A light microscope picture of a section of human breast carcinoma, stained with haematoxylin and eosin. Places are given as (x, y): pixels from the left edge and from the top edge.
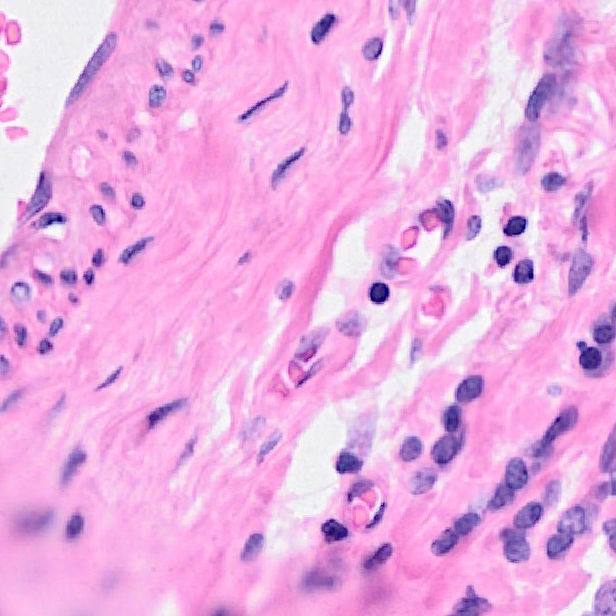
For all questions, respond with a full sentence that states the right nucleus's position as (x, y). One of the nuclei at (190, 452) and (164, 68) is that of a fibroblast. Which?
Lying within a fibroblast is the nucleus at (190, 452).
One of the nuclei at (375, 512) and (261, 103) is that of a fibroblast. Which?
Of the two nuclei, that at (261, 103) is the nucleus of a fibroblast.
